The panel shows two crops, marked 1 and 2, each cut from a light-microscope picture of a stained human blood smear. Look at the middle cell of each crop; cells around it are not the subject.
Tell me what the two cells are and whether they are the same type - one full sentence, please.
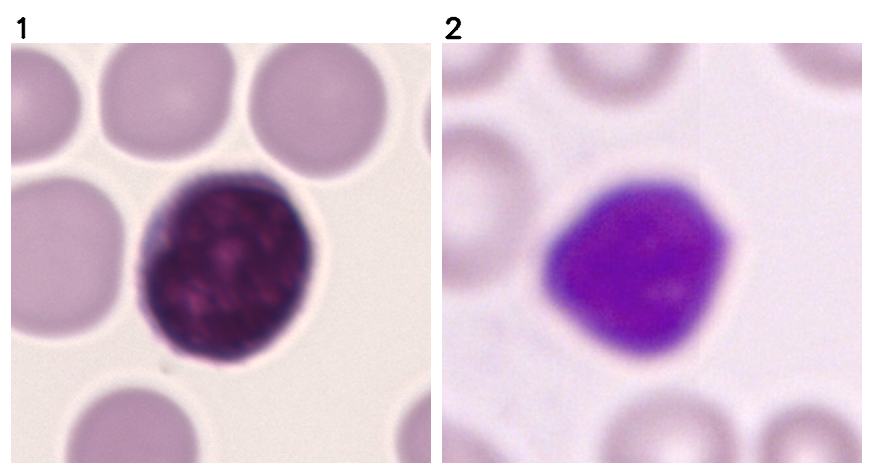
Yes, the central cells in both crops are lymphocytes.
